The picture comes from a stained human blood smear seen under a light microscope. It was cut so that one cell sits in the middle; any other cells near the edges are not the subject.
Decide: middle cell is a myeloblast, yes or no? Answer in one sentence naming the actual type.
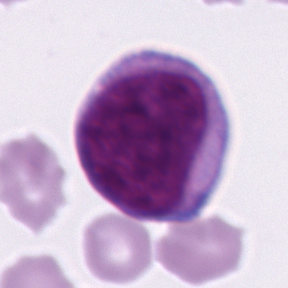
Yes, the identity of the central cell is that of a myeloblast.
